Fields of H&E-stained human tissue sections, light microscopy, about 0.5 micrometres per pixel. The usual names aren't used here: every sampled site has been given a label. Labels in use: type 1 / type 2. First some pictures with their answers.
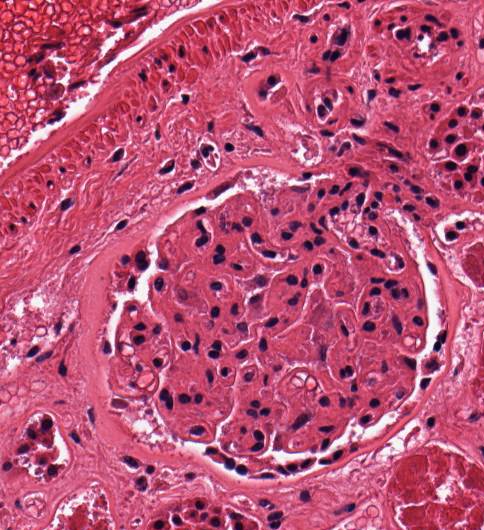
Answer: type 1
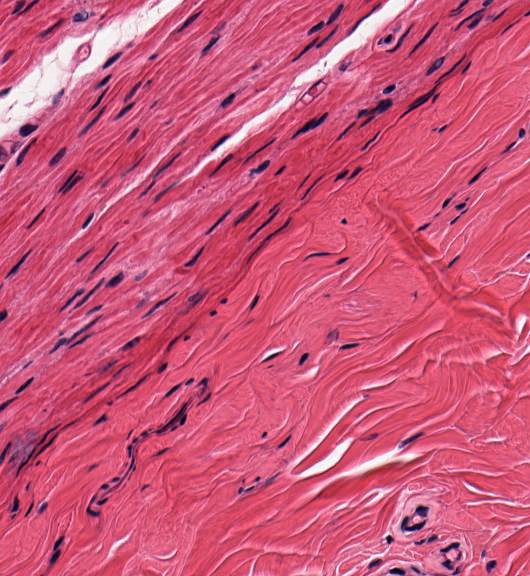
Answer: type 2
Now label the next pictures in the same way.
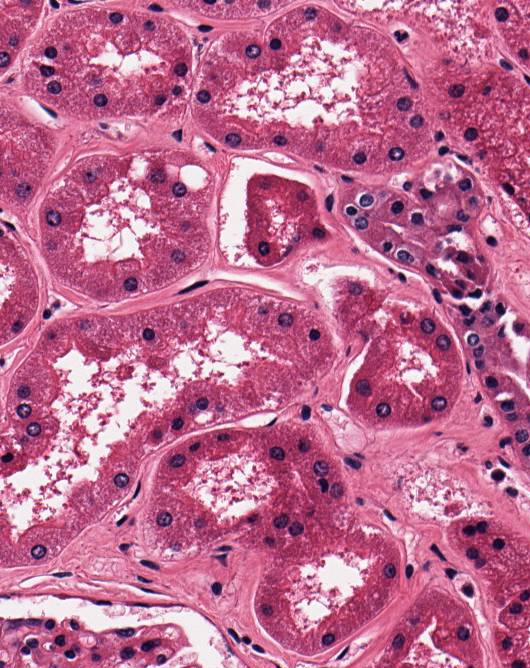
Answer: type 1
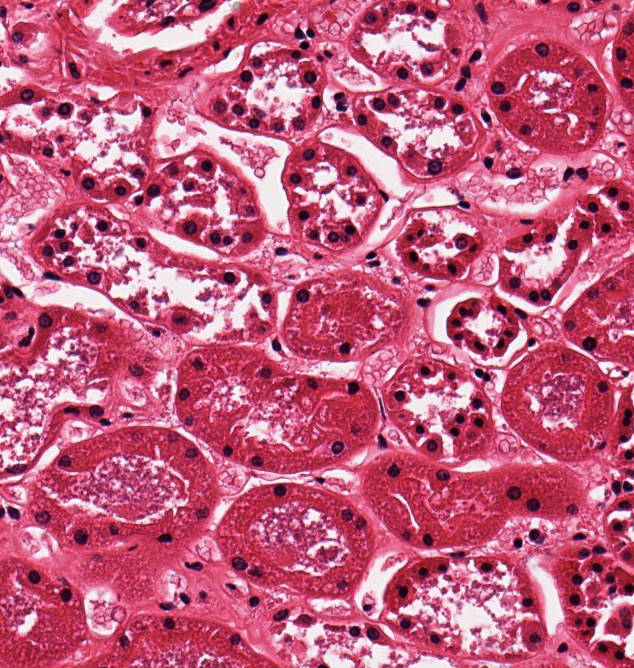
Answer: type 1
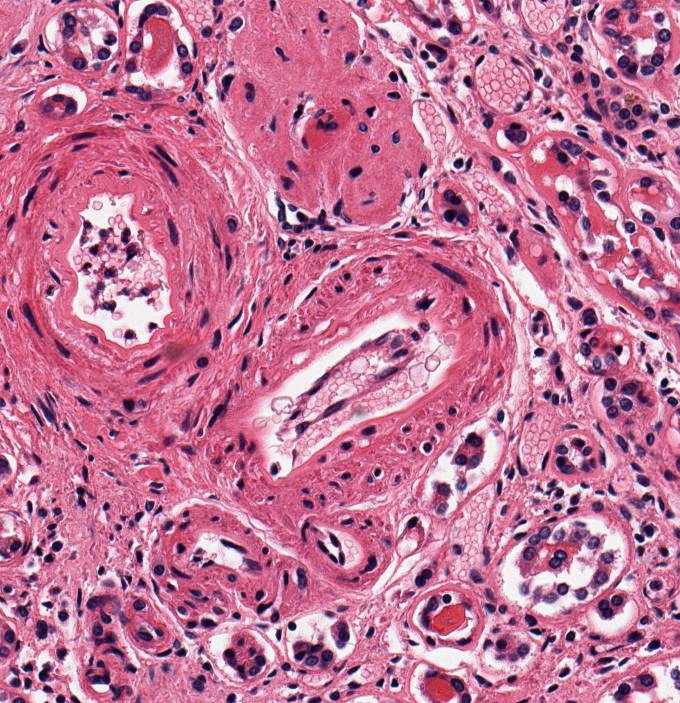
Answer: type 1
